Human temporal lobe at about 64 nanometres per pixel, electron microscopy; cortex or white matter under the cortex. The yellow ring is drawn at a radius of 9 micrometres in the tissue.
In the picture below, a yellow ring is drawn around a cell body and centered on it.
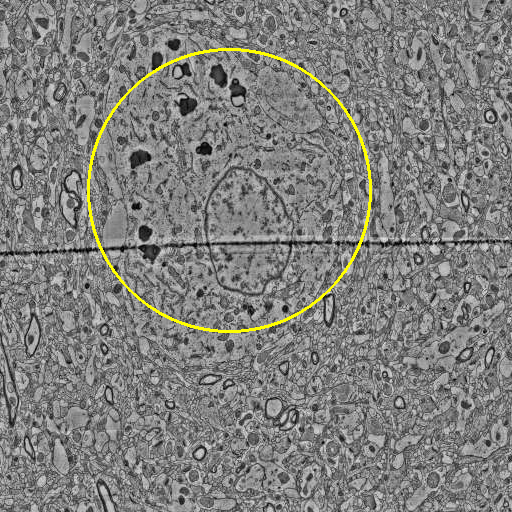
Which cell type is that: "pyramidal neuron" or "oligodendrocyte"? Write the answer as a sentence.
The cell centered in the ring is a pyramidal neuron.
